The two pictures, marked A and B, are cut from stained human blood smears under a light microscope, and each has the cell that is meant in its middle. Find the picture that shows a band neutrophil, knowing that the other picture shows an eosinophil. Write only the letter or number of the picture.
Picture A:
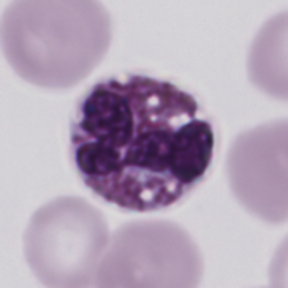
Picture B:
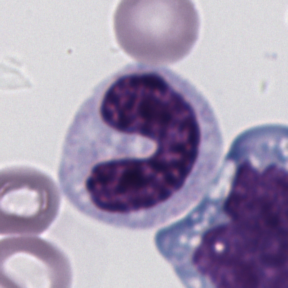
B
